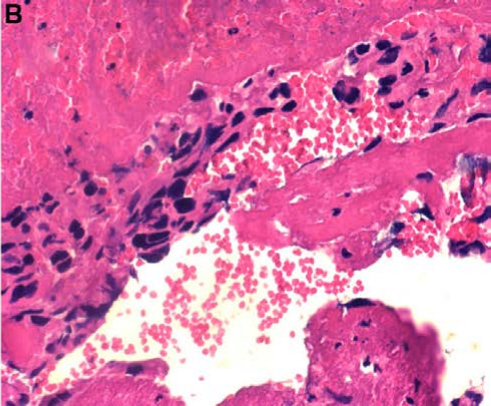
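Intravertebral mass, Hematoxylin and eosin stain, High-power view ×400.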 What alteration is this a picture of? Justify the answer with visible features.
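Nuclei vary greatly in size and shape. Several nuclei are very large, dark and irregular. Cells lie in a disordered band along a cleft. The answer: Cellular heteromorphism.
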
